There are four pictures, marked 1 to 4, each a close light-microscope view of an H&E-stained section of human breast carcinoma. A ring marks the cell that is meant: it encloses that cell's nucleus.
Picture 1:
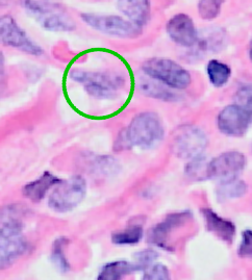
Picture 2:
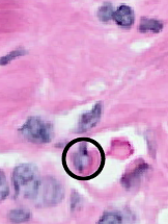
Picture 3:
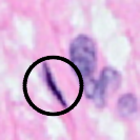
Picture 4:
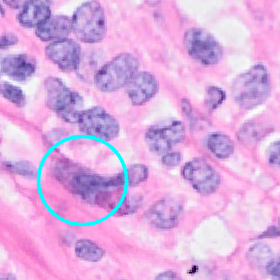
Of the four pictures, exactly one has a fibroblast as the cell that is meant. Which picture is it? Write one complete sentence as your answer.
The picture with the fibroblast is 3.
